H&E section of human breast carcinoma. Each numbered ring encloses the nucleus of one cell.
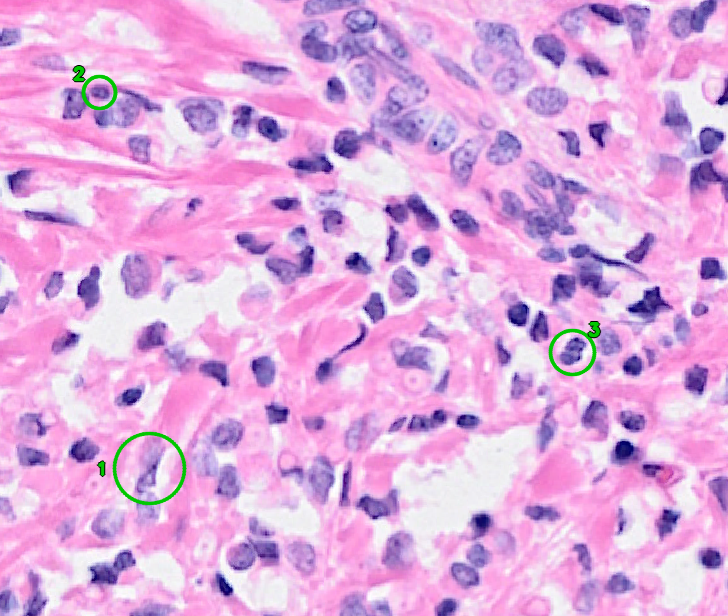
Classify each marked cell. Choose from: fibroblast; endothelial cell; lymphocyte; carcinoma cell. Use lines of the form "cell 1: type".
cell 1: fibroblast
cell 2: lymphocyte
cell 3: lymphocyte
